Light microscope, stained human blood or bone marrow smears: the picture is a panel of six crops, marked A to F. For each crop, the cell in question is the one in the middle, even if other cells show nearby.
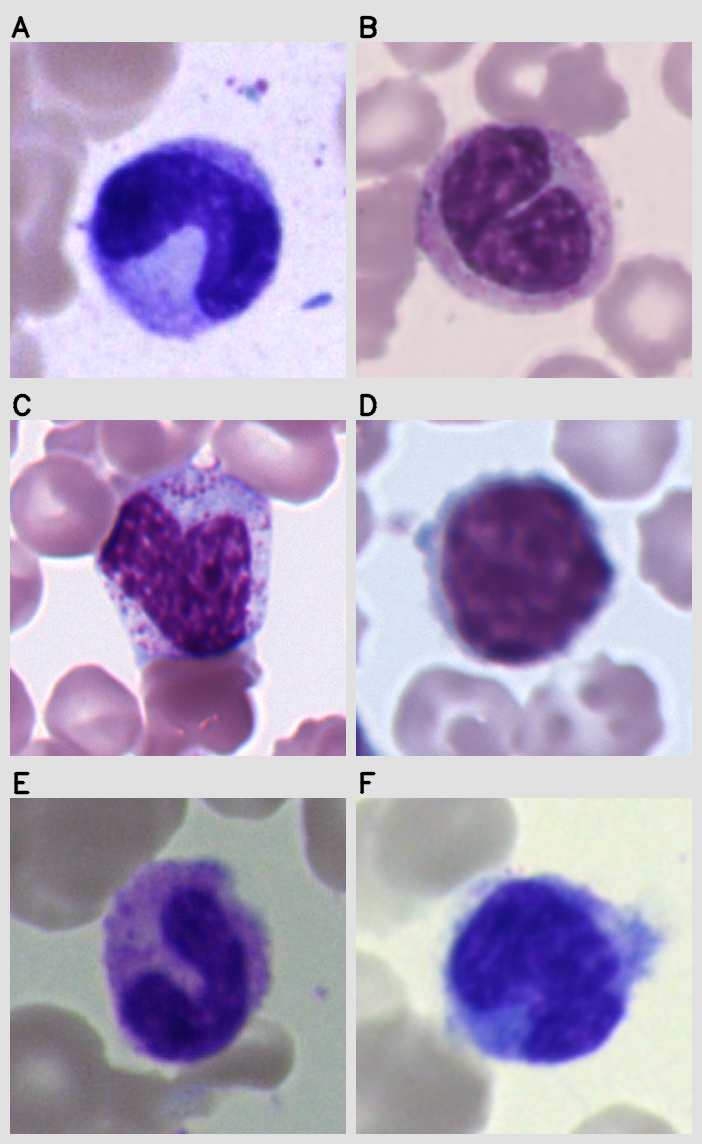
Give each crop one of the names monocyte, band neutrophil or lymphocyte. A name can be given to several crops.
A: band neutrophil
B: band neutrophil
C: band neutrophil
D: lymphocyte
E: band neutrophil
F: monocyte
